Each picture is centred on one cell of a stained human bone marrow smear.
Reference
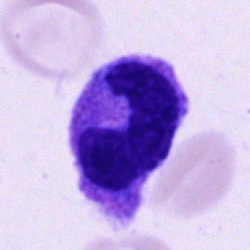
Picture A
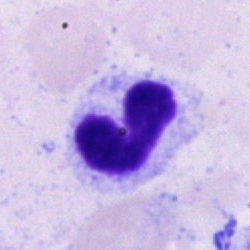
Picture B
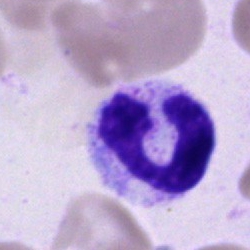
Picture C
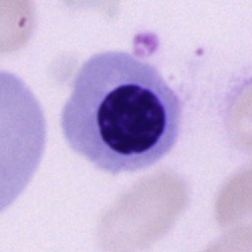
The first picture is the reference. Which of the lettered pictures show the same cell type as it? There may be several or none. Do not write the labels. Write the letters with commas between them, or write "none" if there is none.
A, B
